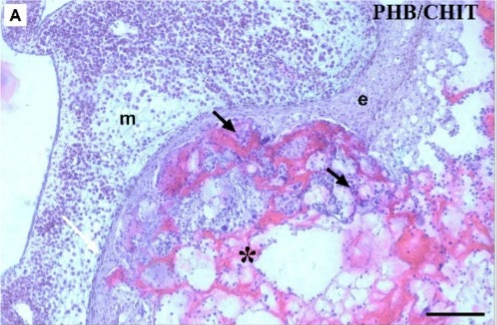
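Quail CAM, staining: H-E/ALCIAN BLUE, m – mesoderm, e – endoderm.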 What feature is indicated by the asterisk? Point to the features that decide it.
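The asterisk lies in a region of pale, irregular pores. The porous region is enclosed by a cellular tissue layer. The answer: scaffold.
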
